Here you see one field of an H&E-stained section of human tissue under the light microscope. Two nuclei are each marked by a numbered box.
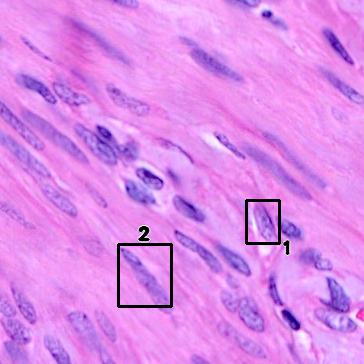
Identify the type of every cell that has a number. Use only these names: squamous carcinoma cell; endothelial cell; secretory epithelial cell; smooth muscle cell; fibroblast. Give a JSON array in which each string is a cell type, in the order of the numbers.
["endothelial cell", "fibroblast"]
